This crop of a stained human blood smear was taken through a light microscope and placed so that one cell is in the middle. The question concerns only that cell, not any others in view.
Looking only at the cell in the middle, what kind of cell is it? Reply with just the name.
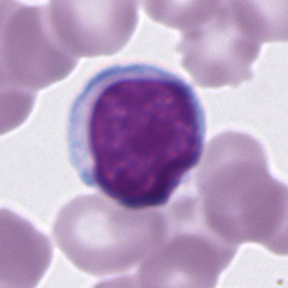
lymphocyte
